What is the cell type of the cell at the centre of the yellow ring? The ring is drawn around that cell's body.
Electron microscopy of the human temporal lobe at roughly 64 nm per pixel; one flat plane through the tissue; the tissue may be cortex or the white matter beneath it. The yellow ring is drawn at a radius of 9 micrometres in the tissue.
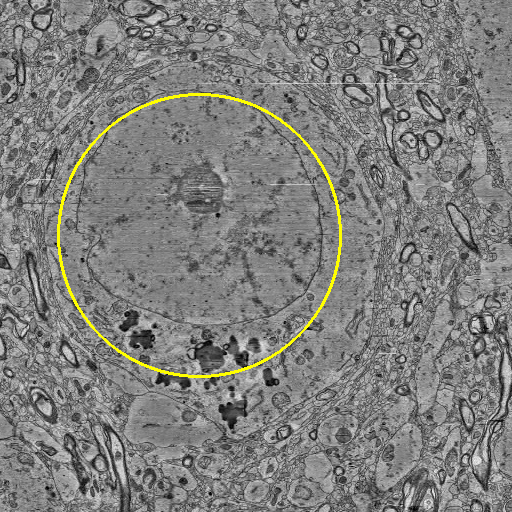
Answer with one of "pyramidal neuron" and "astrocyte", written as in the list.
pyramidal neuron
